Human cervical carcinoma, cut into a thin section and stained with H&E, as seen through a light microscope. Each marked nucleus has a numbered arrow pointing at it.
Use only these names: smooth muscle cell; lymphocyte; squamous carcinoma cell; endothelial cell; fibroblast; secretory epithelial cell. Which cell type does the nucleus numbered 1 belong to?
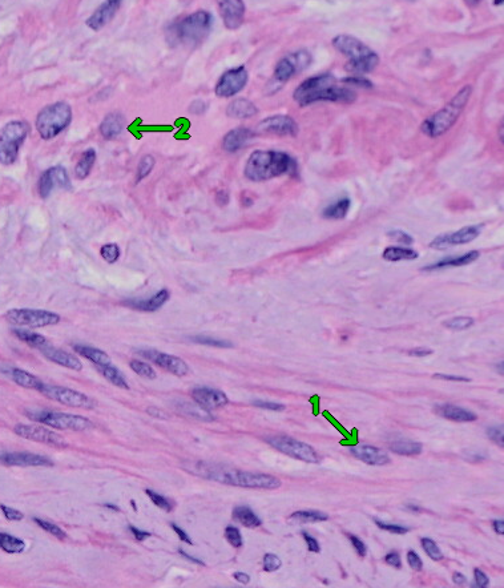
smooth muscle cell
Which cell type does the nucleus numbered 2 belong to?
endothelial cell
